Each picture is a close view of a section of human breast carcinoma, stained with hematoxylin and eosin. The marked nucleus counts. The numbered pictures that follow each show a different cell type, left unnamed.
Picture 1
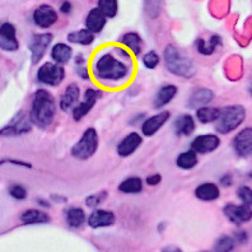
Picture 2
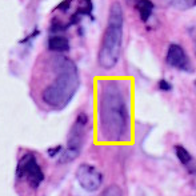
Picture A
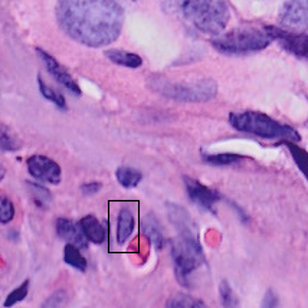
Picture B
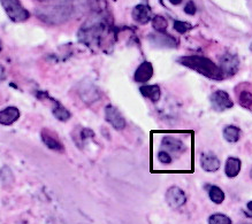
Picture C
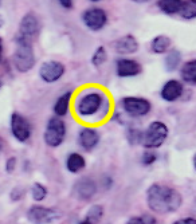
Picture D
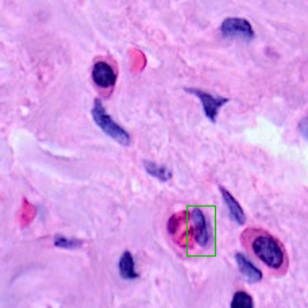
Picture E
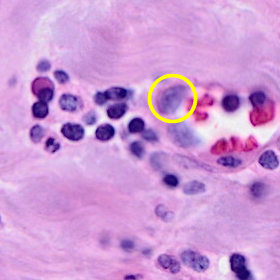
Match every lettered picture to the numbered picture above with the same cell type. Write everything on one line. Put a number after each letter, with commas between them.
A 2, B 1, C 1, D 2, E 2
